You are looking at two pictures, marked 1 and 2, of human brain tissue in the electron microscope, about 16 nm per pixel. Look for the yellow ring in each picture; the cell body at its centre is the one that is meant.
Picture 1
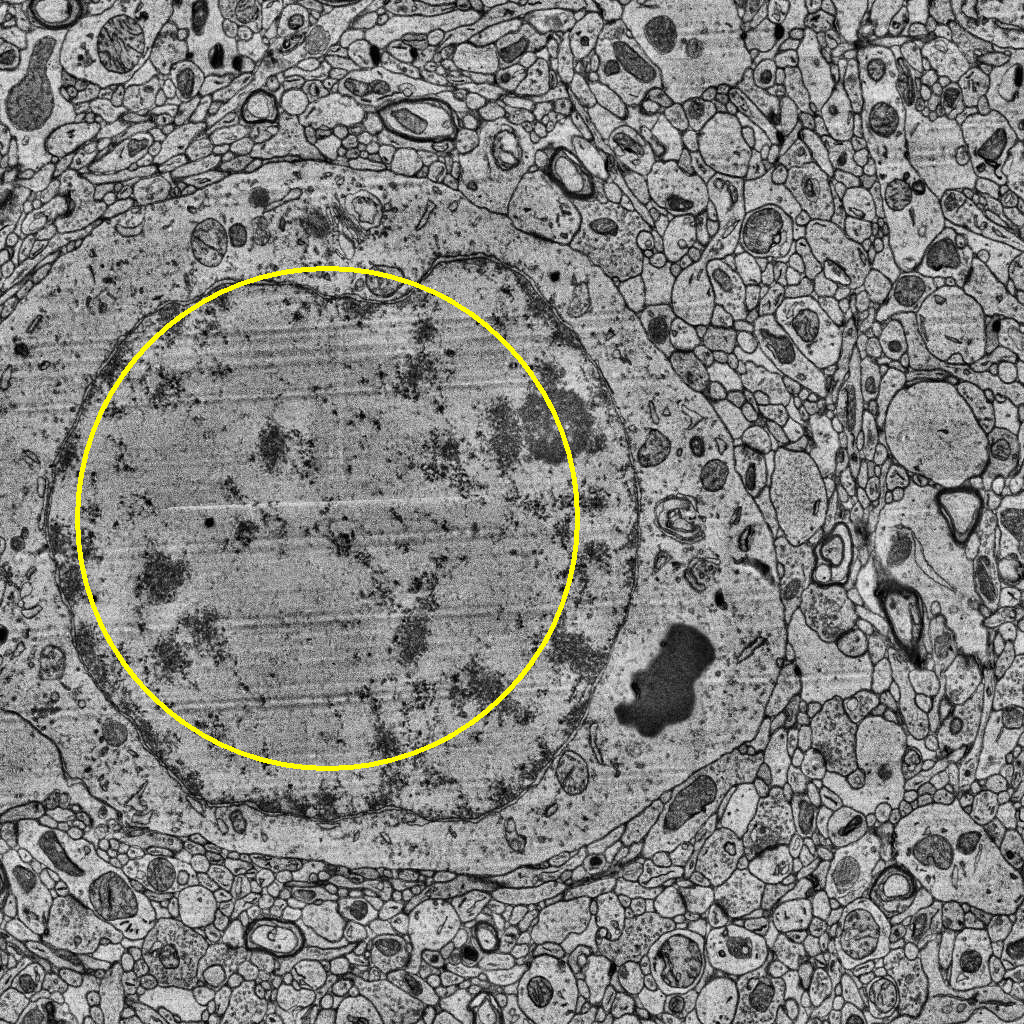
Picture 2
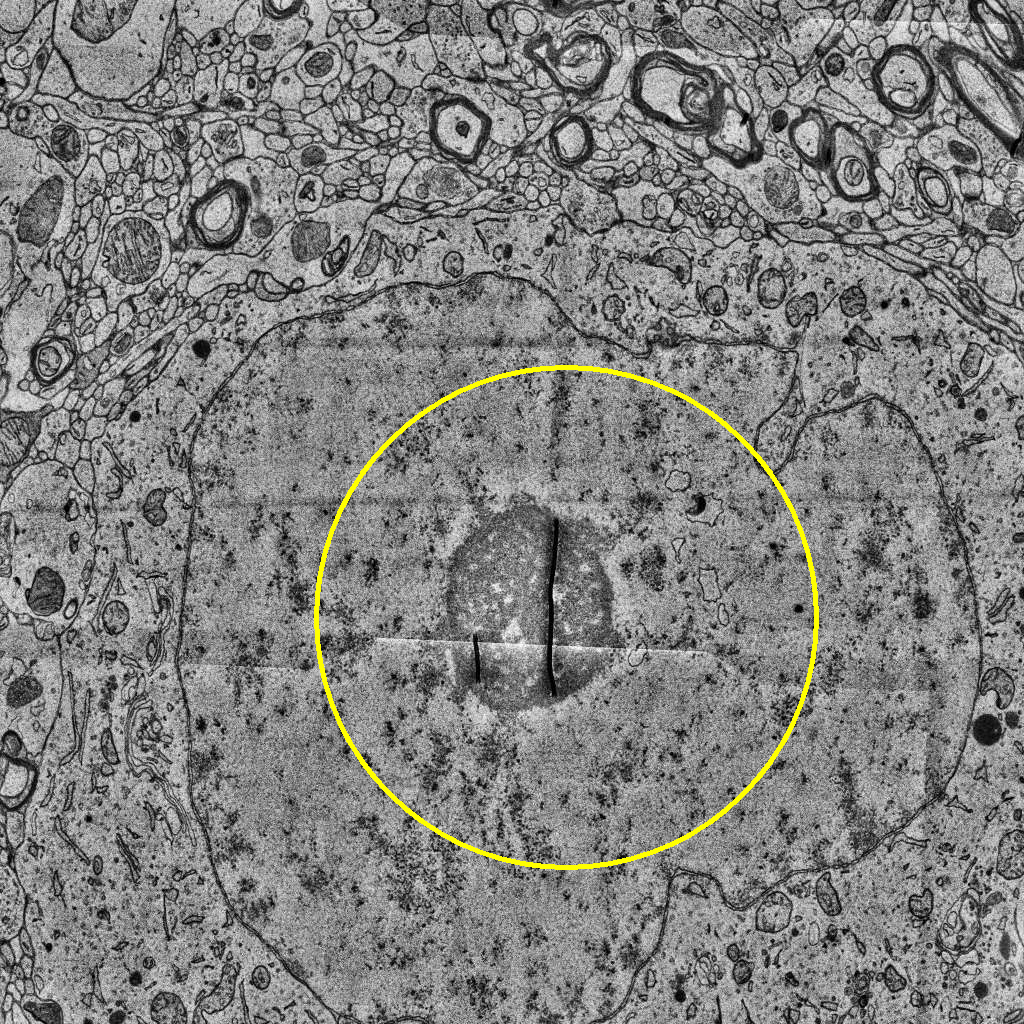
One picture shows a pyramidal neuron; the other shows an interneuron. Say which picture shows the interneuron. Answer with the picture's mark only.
1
